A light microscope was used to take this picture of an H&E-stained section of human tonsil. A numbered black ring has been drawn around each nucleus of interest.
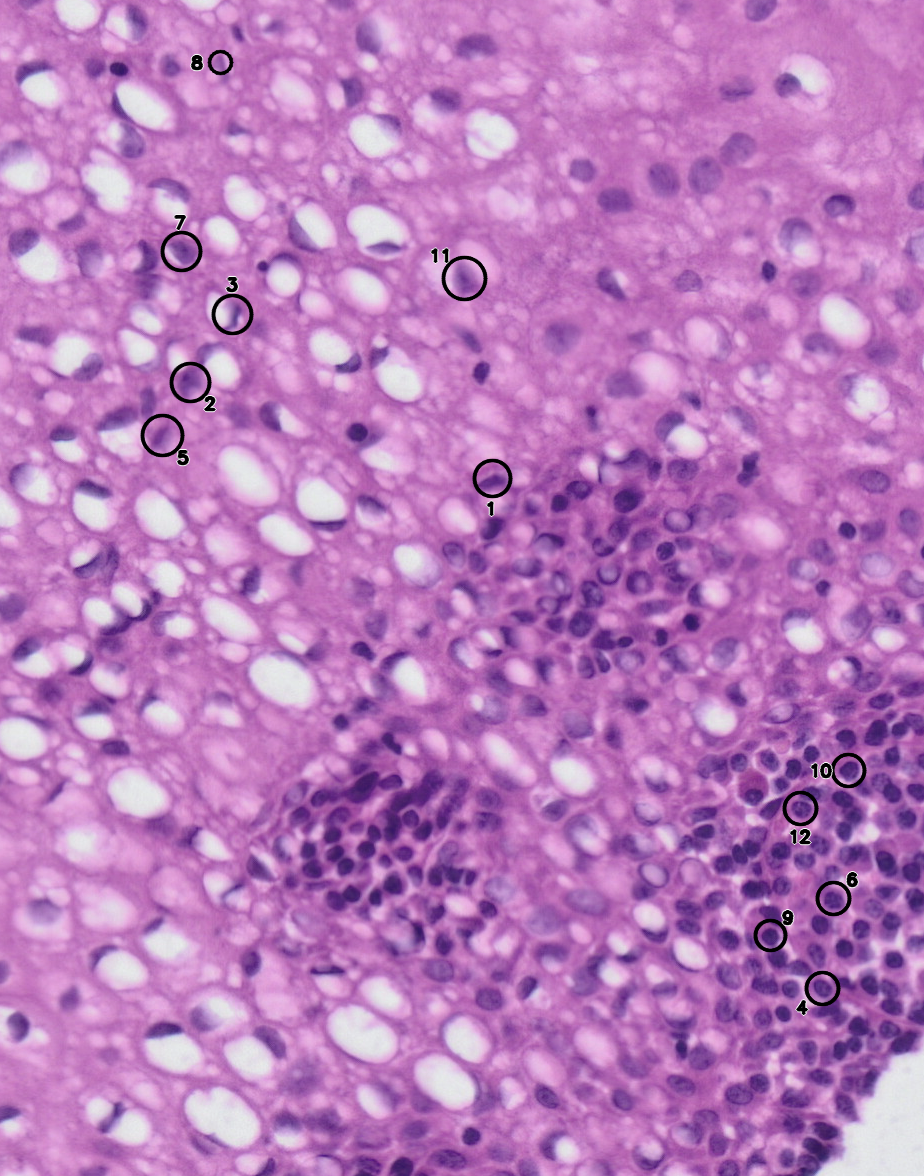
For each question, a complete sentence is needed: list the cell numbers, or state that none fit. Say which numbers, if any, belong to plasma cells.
When it comes to cells 4, 6, 9, 10 and 12, they are plasma cells.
